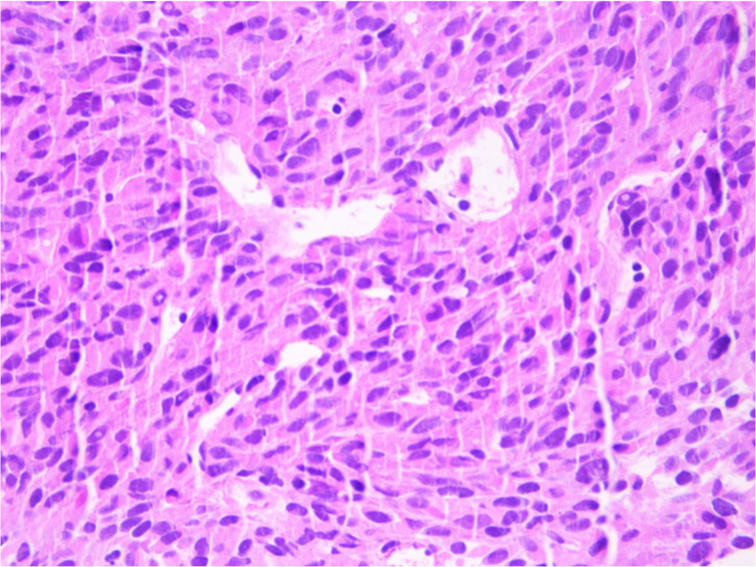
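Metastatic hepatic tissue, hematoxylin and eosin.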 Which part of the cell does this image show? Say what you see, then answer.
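Eosinophilic cytoplasm. The cytoplasm between the nuclei is stained pink. The pink cytoplasm forms a continuous background around the purple nuclei.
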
